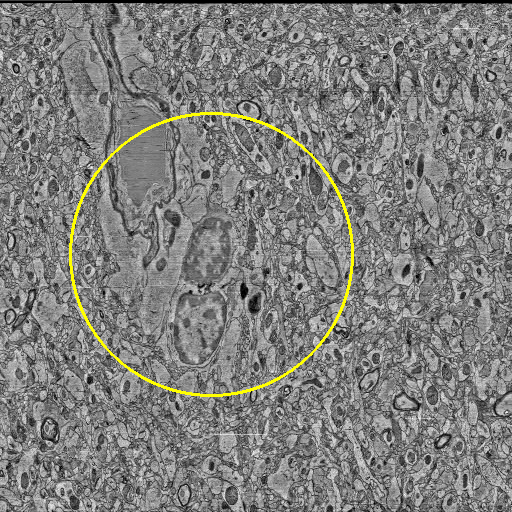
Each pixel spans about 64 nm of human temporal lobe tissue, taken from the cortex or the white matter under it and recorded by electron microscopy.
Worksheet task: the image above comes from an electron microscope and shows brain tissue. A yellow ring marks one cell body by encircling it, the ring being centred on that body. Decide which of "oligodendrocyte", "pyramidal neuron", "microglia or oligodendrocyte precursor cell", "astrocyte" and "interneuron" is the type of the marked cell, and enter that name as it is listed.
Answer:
oligodendrocyte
